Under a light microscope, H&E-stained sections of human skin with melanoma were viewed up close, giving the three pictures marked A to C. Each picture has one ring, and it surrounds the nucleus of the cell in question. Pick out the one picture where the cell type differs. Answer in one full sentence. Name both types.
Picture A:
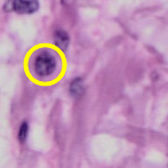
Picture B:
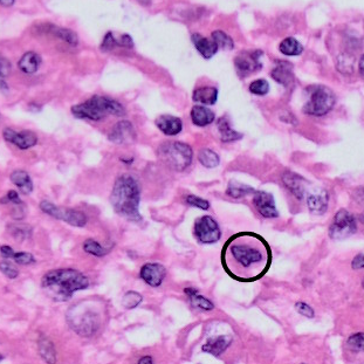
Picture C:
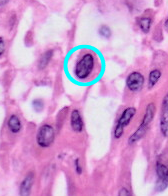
The others show “macrophages or monocytes”, but picture A shows a plasma cell.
